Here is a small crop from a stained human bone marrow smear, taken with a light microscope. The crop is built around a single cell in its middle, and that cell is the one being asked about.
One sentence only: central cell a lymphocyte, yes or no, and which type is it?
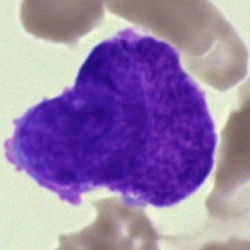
No, the centre cell counts as a blast, not as a lymphocyte.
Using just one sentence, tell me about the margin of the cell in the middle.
The cytoplasmic margin is uneven, whether through ragged segments or through projections.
